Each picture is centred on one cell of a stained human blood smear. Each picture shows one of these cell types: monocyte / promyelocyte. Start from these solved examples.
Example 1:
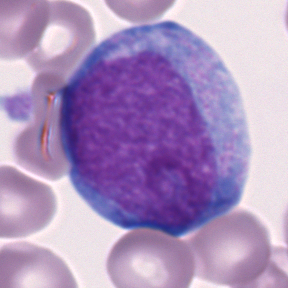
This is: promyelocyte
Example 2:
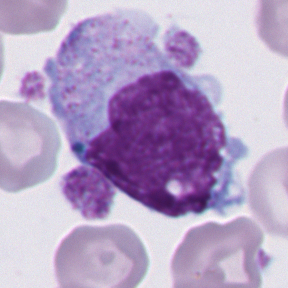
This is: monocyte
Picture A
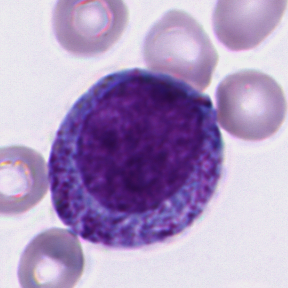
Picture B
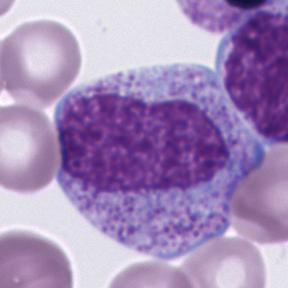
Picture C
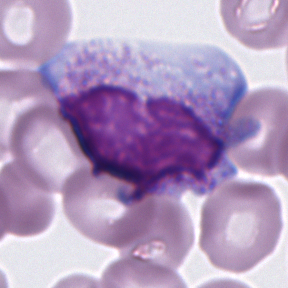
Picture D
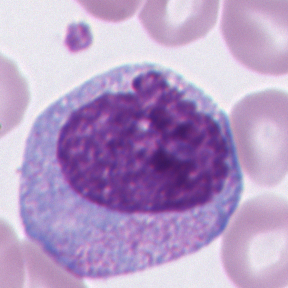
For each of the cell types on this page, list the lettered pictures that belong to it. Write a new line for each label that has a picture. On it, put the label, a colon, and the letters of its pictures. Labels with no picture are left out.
promyelocyte: A, B, C, D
